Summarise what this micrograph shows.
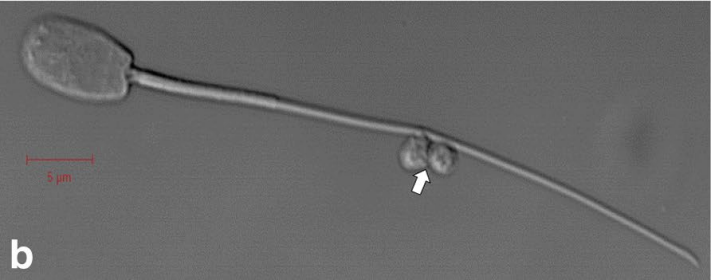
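A single spermatozoon with a flattened oval head at the left and a long tail running to the right. The tail is thicker in the segment just behind the head and tapers toward its tip. Partway along the tail, a small cluster of two round bodies is attached to its side, indicated by a white arrow.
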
